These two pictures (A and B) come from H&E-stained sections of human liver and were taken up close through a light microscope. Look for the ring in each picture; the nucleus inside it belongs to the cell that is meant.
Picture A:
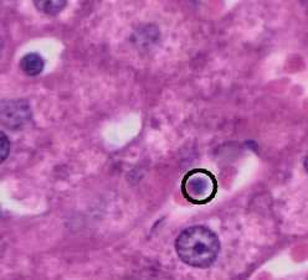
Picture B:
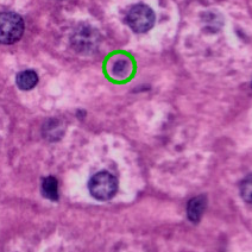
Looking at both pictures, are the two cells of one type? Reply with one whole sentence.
Yes, they are the same type: both are lymphocytes.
